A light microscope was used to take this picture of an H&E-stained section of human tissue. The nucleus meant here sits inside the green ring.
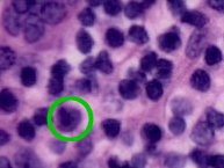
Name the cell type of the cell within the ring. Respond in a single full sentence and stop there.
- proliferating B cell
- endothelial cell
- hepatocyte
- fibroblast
Assigned to a cell type, the cell within the ring is a proliferating B cell.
